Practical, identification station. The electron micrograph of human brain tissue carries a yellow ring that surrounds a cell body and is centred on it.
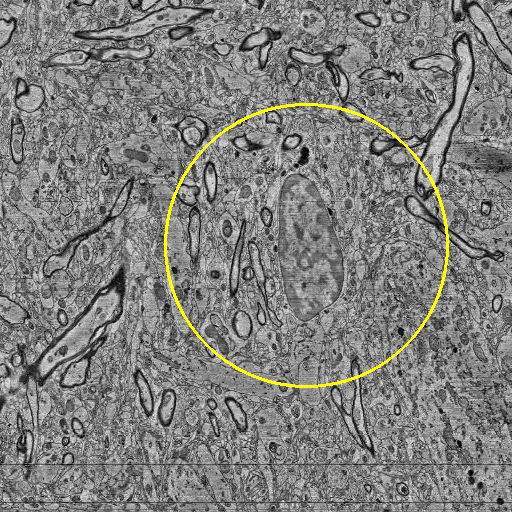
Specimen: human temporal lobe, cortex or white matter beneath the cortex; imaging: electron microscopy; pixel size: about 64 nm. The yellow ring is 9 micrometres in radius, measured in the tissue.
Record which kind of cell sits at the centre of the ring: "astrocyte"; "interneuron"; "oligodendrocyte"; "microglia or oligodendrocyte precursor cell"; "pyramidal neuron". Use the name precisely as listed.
microglia or oligodendrocyte precursor cell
